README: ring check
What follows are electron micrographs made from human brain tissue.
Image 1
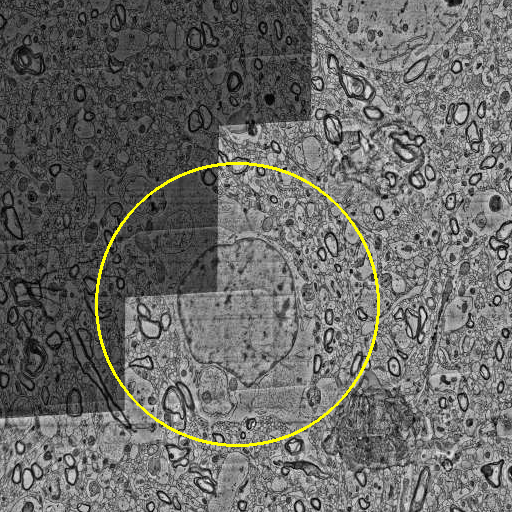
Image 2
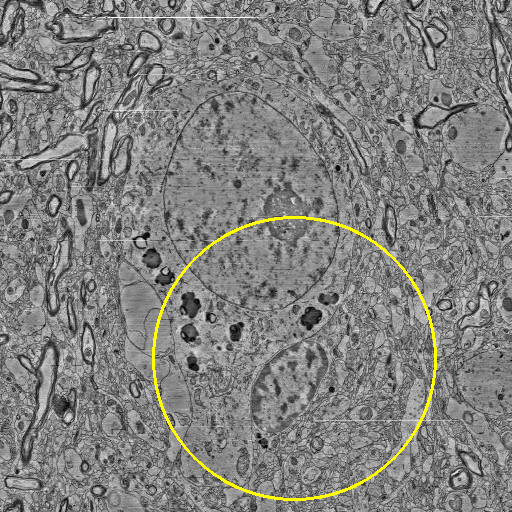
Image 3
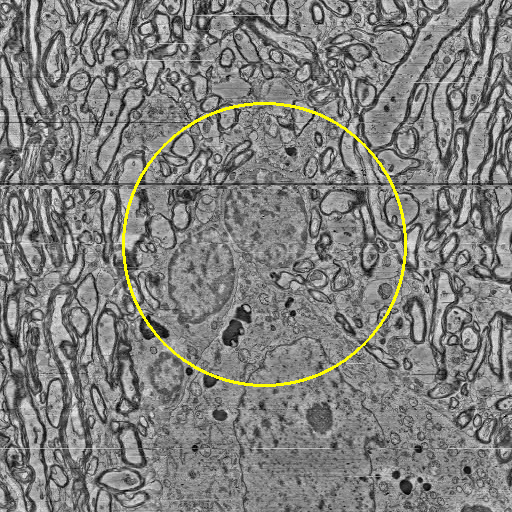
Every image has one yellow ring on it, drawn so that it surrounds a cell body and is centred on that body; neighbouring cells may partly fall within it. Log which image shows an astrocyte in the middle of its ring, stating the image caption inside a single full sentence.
Image 1 is where the cell at the ring's centre matches the one asked for.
